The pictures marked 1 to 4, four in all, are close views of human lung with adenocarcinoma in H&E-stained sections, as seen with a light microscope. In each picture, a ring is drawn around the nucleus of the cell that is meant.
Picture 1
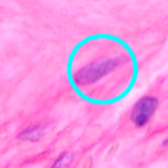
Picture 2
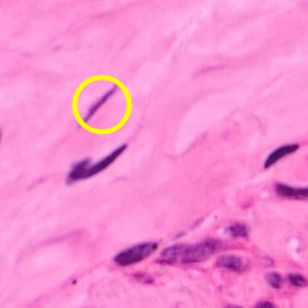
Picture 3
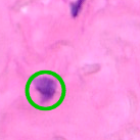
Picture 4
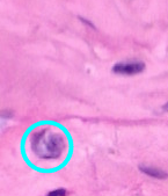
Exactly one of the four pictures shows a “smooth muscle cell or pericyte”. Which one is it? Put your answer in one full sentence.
The “smooth muscle cell or pericyte” is the one in picture 1.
